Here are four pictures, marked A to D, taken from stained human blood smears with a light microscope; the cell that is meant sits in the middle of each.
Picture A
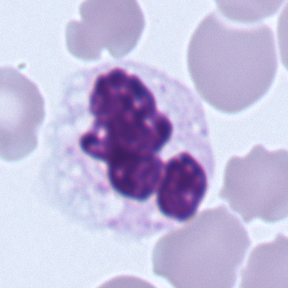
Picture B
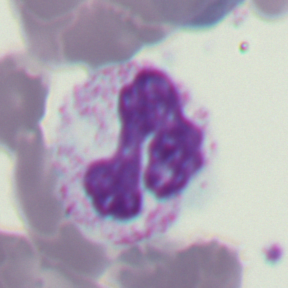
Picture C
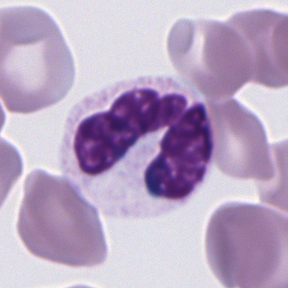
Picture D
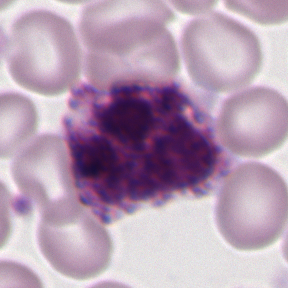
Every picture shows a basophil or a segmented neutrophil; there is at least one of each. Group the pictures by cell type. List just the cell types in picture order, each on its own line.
segmented neutrophil
segmented neutrophil
segmented neutrophil
basophil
